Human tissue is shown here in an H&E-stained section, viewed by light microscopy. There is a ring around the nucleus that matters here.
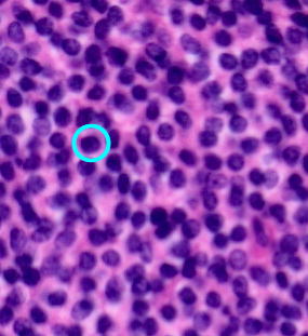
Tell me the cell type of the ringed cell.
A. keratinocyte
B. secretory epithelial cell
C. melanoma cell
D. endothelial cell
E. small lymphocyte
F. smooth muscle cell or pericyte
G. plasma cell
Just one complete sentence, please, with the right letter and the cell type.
The statement that the ringed cell is a small lymphocyte corresponds to option E, the correct one.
